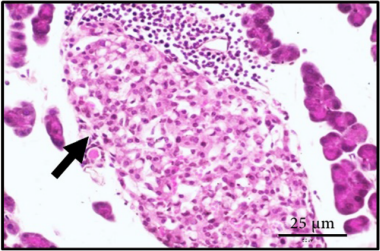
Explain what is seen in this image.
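A large oval mass of pale pink cells with round nuclei fills most of the field, lying between dark purple clusters of acinar cells at the edges. The pale cells are loosely packed with lightly stained cytoplasm, quite unlike the densely stained, compact acini around them. Along the upper edge of the pale mass lies a dense band of small, dark, round nuclei. This pale mass is an islet of Langerhans set within the exocrine pancreas.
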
